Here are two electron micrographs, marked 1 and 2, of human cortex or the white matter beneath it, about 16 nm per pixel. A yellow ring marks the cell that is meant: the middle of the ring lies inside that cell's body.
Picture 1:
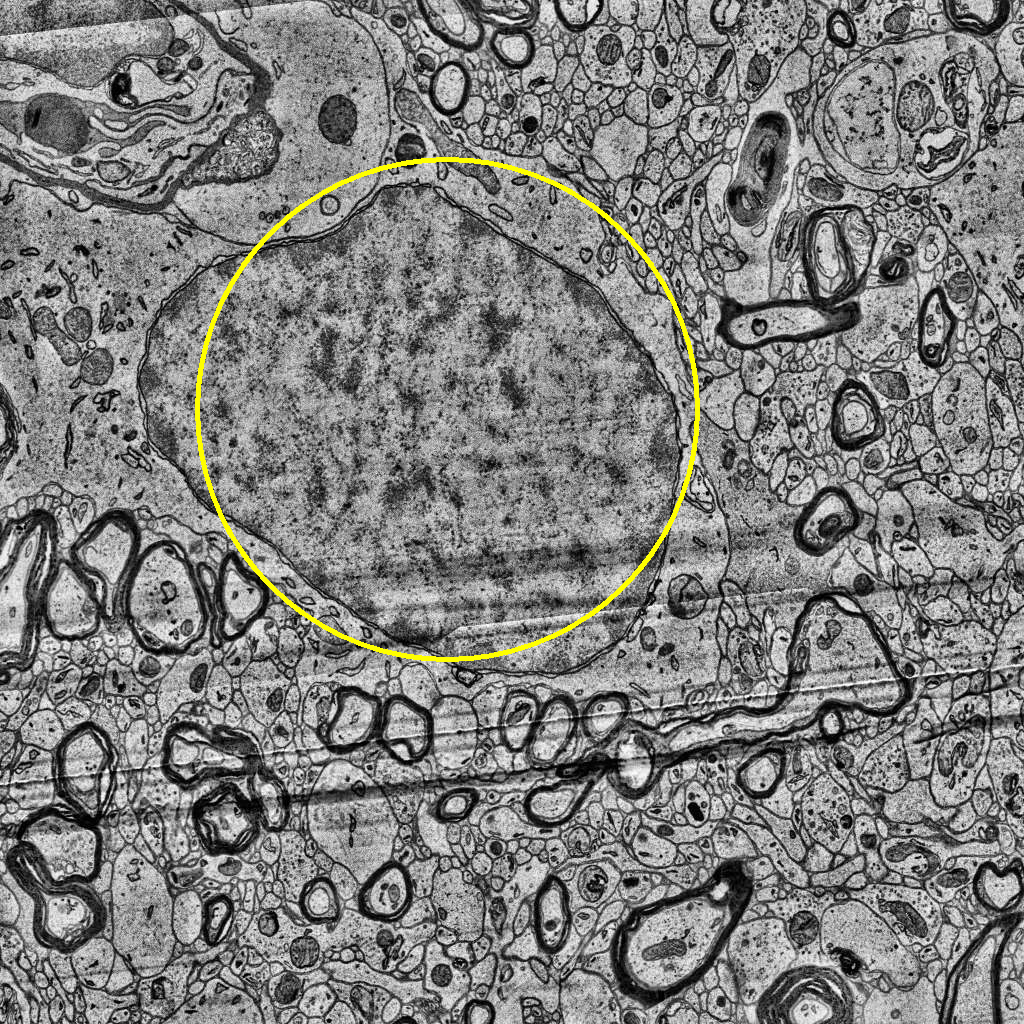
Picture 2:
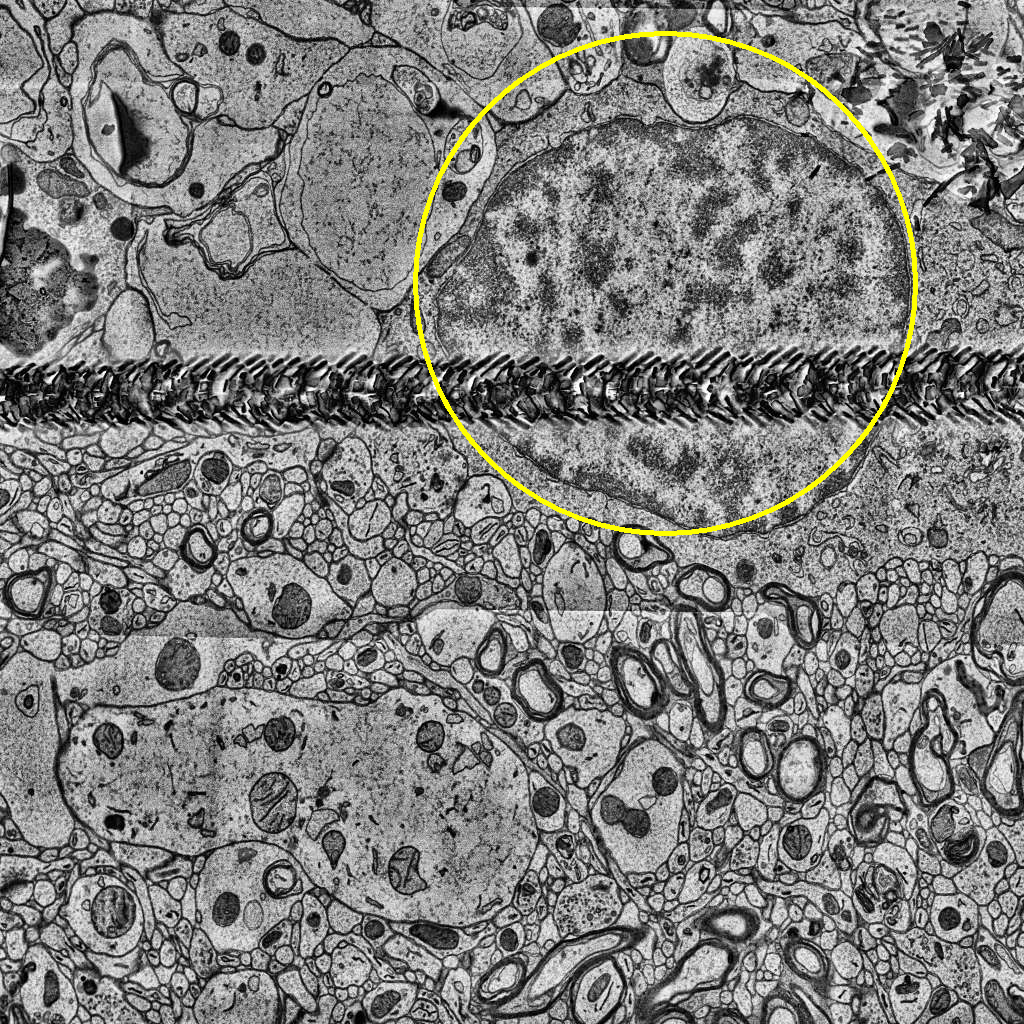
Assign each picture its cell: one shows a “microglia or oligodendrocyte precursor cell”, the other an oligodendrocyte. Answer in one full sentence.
Picture 1 is of a “microglia or oligodendrocyte precursor cell”, and picture 2 is of an oligodendrocyte.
